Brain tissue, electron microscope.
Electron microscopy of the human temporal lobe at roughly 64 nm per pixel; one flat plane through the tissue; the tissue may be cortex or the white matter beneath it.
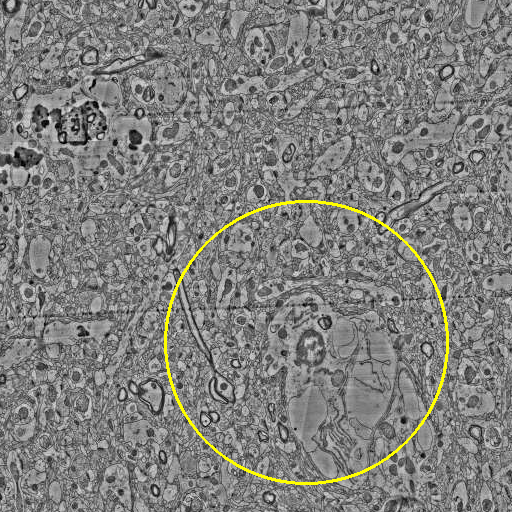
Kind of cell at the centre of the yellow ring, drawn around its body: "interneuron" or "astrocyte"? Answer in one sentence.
The ring's centre falls on an astrocyte.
